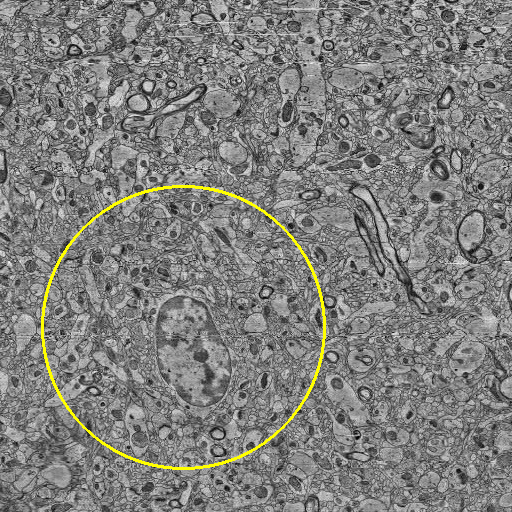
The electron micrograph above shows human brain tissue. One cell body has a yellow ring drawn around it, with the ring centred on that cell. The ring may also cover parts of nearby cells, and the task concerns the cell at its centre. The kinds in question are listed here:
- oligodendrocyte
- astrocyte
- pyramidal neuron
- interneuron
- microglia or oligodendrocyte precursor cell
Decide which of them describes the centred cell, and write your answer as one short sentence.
The centred cell is a microglial cell or oligodendrocyte precursor cell.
